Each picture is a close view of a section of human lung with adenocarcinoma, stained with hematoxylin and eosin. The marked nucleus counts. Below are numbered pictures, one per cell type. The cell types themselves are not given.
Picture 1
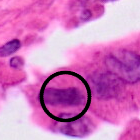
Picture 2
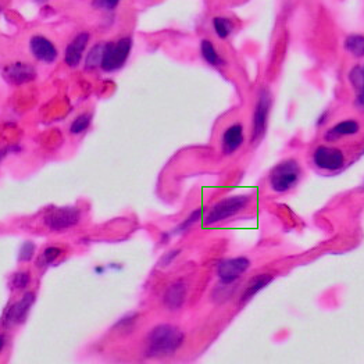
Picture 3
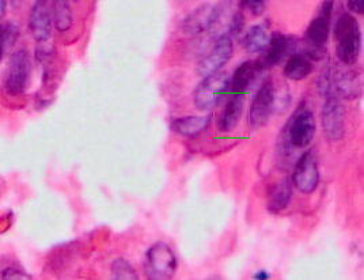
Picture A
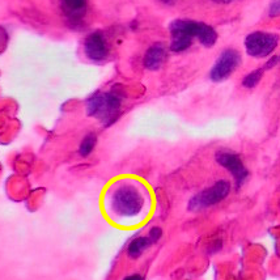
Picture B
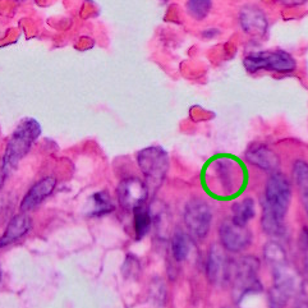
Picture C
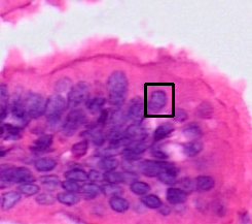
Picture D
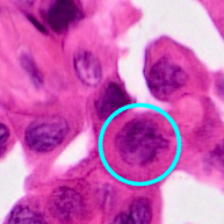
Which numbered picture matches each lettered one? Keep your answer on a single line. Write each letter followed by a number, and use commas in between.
A 2, B 3, C 3, D 1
